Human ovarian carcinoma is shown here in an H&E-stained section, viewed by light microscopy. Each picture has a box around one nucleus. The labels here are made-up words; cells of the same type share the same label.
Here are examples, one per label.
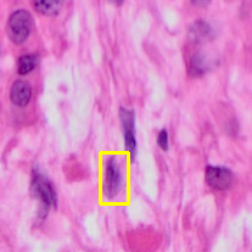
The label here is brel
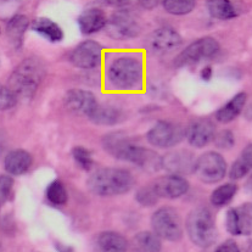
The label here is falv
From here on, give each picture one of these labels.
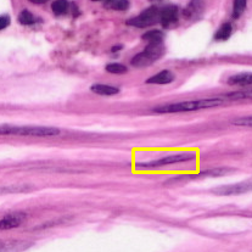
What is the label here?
brel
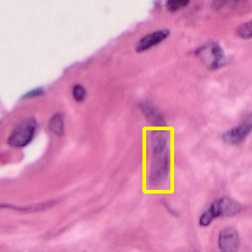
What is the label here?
brel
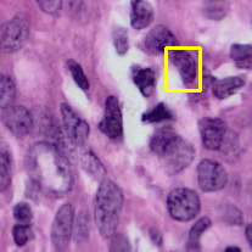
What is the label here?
falv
